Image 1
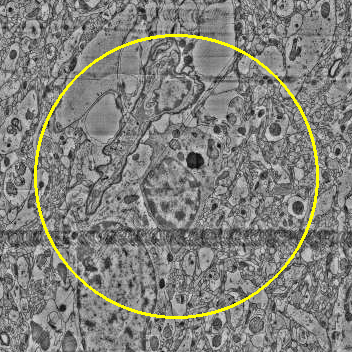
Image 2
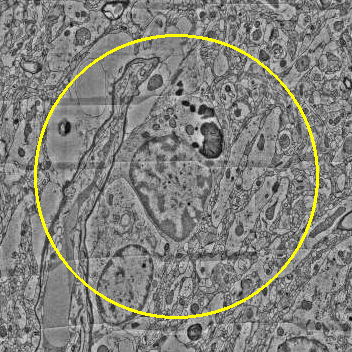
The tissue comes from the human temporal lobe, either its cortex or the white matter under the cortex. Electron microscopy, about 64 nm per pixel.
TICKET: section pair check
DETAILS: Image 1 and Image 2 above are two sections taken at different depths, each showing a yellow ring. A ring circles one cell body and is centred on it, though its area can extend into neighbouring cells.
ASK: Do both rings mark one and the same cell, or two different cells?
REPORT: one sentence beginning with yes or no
Yes, the two rings mark one cell and not separate cells.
